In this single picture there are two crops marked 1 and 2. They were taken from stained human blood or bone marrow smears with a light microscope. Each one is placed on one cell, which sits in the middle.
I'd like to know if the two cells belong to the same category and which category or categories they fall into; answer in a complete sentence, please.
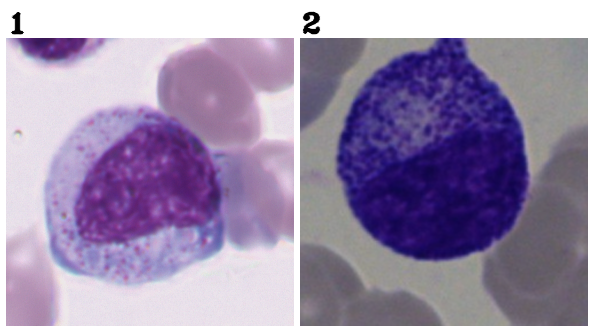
Yes, both crops show promyelocytes, and nothing else needs adding.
